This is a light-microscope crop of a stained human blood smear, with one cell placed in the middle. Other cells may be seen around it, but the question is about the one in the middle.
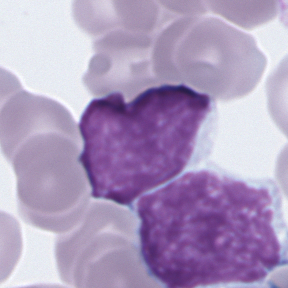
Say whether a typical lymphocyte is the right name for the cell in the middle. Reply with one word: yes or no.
yes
